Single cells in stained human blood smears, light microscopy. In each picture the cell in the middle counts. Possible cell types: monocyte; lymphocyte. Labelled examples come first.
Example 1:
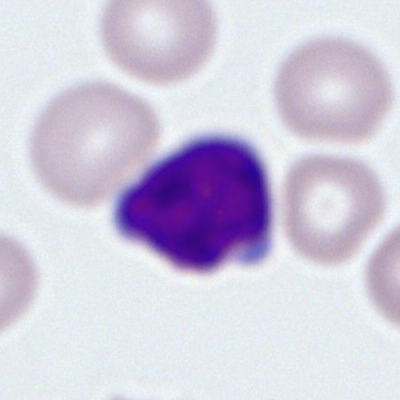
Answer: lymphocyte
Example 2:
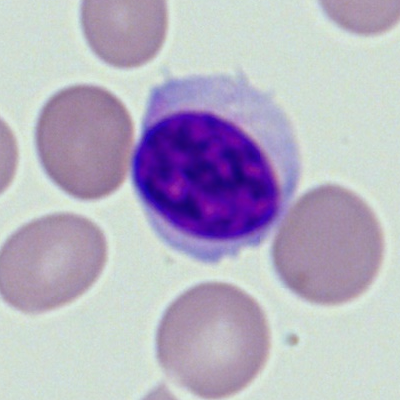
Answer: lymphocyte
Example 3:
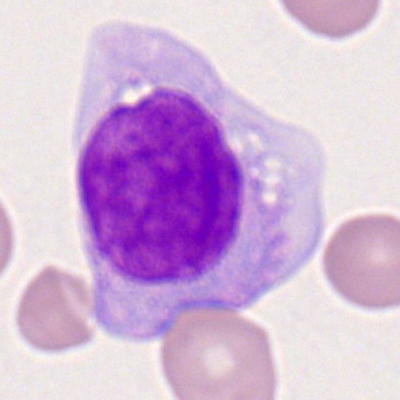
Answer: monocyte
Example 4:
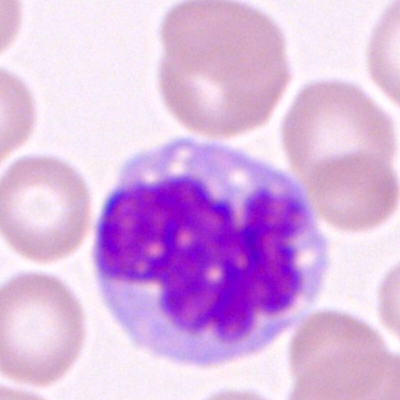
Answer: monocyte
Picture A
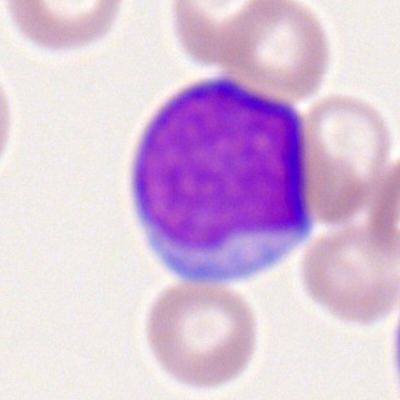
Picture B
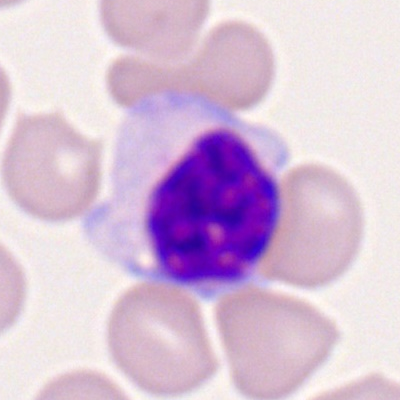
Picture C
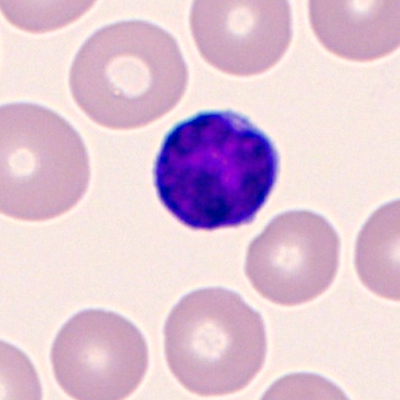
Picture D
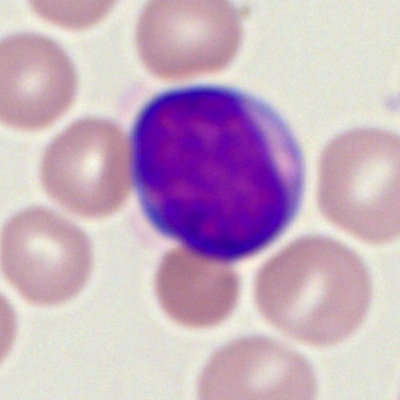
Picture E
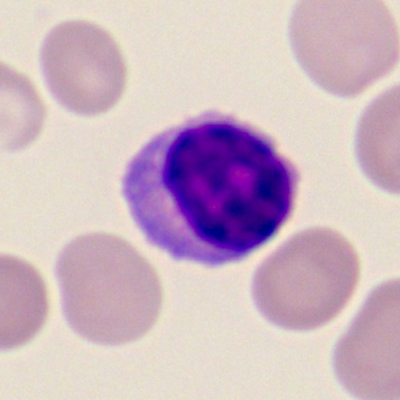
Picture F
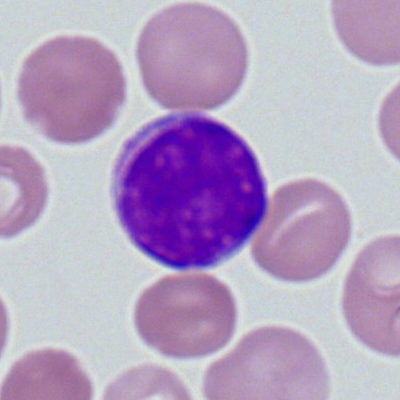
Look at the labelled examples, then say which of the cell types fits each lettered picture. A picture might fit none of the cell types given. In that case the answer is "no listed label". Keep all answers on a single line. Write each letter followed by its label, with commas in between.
A no listed label, B lymphocyte, C lymphocyte, D no listed label, E lymphocyte, F lymphocyte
